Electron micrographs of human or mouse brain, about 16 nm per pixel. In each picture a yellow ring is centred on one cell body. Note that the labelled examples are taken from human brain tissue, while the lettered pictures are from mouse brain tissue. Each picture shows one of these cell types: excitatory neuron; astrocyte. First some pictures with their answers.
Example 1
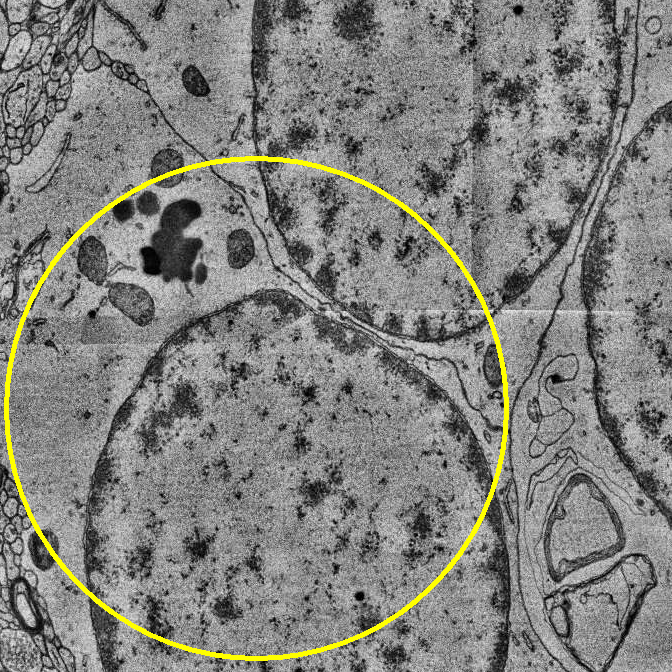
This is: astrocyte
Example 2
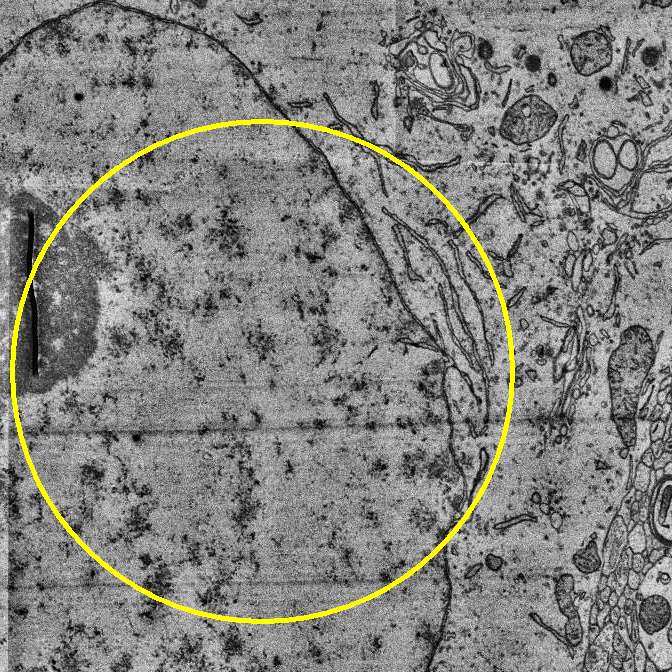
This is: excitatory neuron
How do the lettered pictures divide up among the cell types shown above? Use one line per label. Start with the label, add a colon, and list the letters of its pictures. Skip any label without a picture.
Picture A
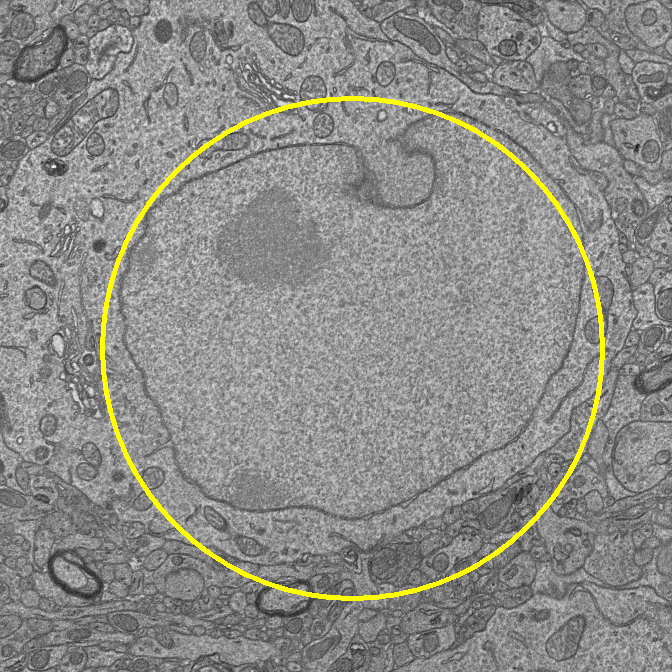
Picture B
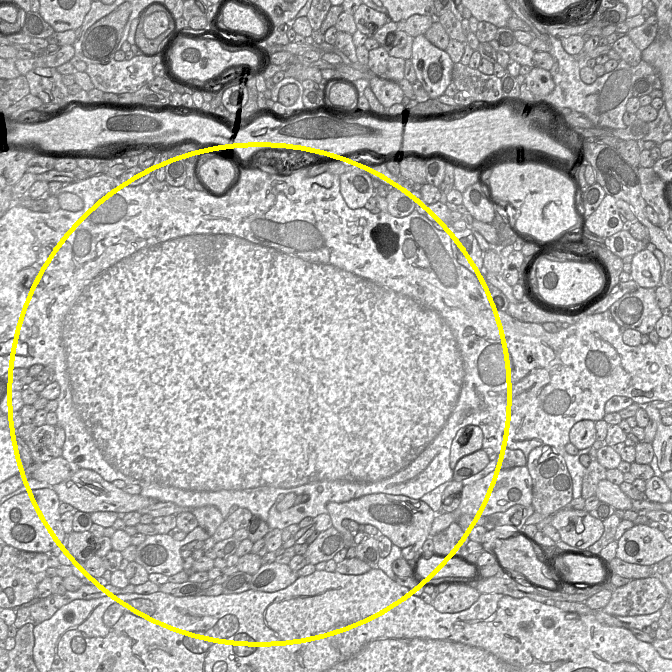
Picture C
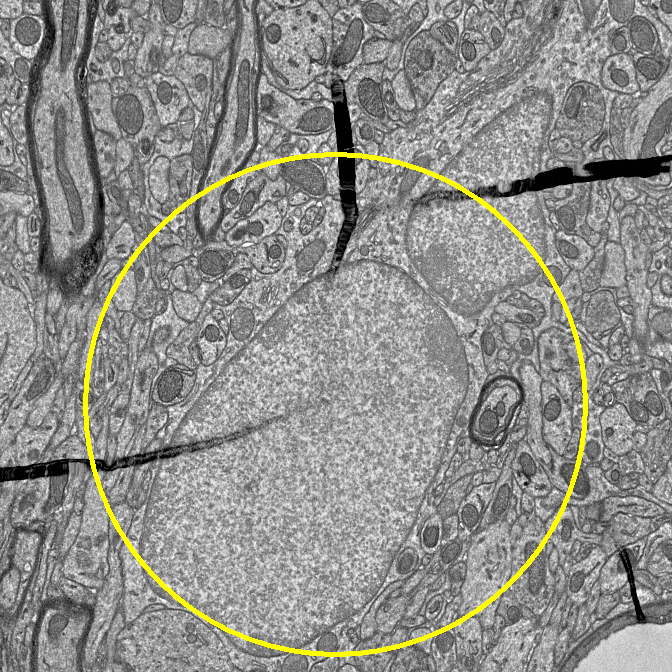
excitatory neuron: A
astrocyte: B, C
